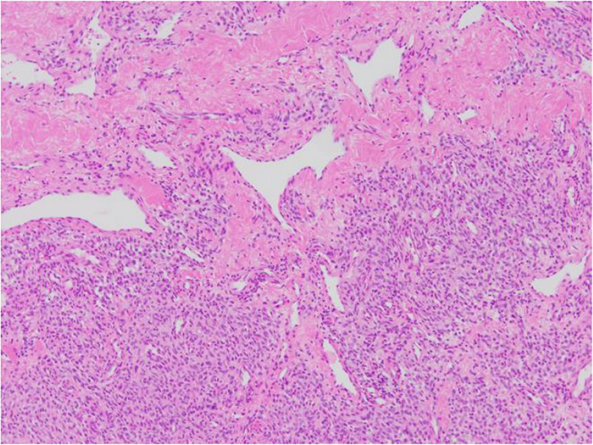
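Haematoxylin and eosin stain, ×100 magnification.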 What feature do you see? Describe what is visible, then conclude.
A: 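Wide, thin-walled, branching empty vascular spaces. Vessels scattered among the cellular areas. The answer: enlarged blood vessels.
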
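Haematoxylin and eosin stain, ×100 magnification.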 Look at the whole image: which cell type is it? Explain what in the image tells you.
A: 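Densely packed cells with elongated nuclei. Cells lie in sheets between pink collagenous bands.
Spindle cells.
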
